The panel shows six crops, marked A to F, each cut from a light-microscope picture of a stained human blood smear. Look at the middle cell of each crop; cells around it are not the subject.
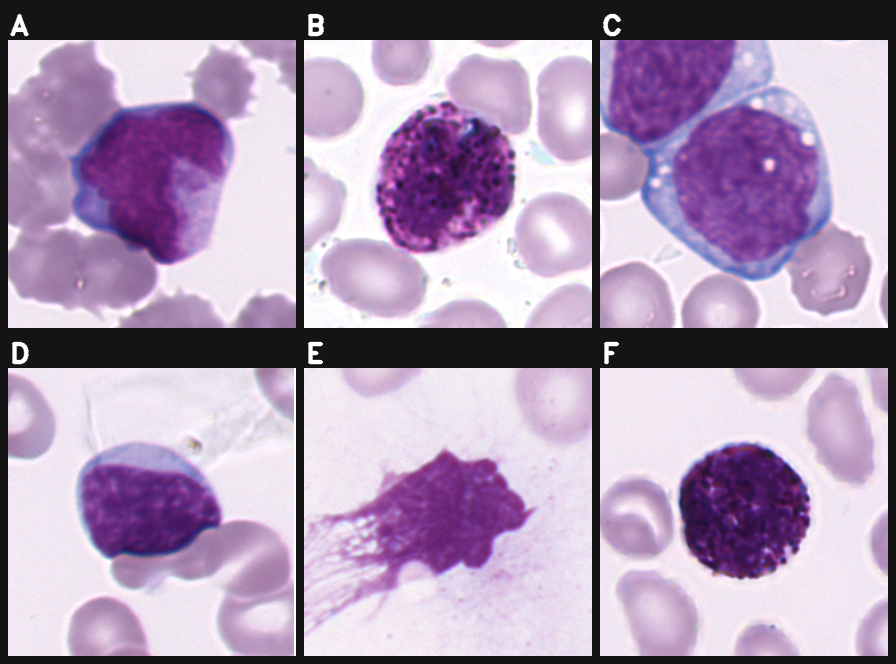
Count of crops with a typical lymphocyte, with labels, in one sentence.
The crop with a typical lymphocyte is crop D, and it is the only such crop.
